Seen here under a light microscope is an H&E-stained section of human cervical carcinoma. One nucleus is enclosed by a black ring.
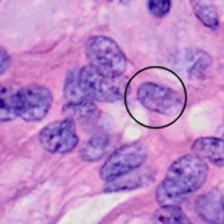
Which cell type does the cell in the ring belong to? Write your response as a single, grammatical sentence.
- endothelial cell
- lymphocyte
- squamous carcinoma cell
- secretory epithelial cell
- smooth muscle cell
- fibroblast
With respect to cell type, the cell in the ring is an endothelial cell.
